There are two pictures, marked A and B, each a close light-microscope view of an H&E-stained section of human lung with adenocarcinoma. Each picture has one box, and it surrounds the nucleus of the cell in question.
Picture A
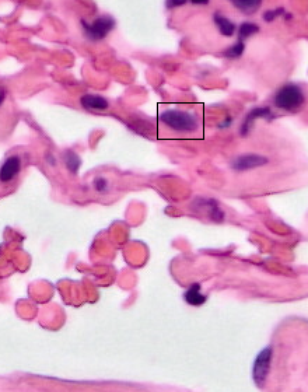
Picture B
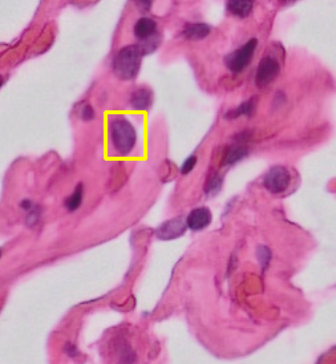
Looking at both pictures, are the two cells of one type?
yes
